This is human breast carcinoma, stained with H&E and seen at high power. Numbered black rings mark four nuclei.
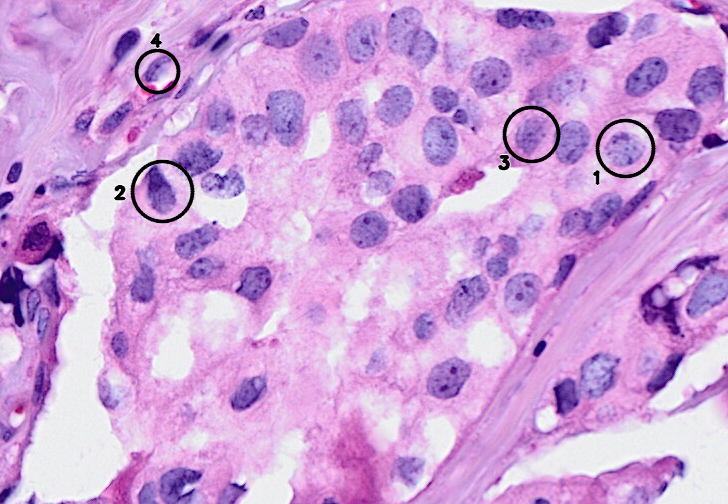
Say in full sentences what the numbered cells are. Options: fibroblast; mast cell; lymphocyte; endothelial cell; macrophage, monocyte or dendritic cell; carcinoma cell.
Cell 1 is a carcinoma cell, cell 2 is a carcinoma cell, cell 3 is a carcinoma cell and cell 4 is an endothelial cell.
